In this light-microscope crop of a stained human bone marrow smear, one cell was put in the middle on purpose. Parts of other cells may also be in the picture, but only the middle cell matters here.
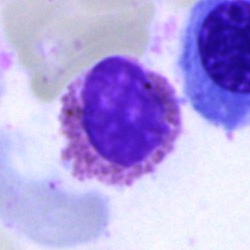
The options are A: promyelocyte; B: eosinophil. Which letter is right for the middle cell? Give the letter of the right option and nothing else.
B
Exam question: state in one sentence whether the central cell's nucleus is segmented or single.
See how the nucleus sits as one compact round, oval or kidney-shaped mass.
